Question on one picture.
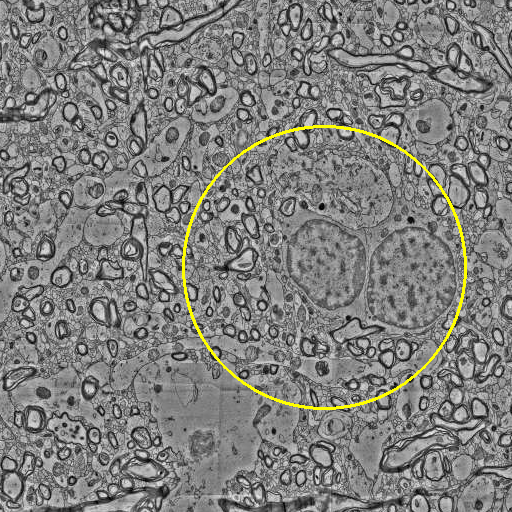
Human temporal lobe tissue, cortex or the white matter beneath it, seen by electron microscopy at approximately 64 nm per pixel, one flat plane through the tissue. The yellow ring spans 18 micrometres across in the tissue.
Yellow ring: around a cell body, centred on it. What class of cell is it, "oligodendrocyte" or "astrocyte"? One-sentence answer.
This is an oligodendrocyte, the cell the ring is centred on.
